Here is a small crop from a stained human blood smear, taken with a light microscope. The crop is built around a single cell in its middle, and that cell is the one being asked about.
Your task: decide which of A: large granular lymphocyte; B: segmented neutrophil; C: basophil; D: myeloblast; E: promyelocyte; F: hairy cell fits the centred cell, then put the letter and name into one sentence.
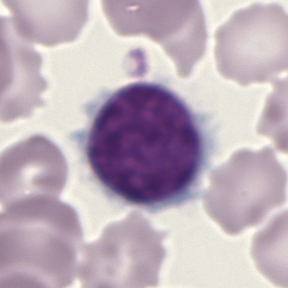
Option F is accurate; the centrally placed cell is a hairy cell.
